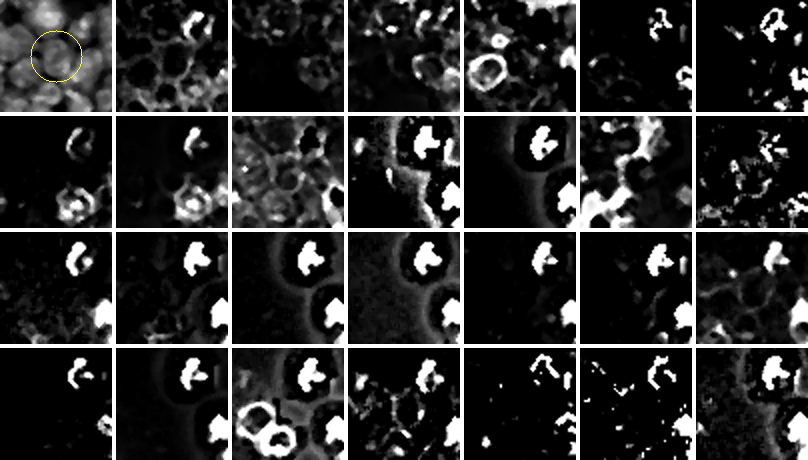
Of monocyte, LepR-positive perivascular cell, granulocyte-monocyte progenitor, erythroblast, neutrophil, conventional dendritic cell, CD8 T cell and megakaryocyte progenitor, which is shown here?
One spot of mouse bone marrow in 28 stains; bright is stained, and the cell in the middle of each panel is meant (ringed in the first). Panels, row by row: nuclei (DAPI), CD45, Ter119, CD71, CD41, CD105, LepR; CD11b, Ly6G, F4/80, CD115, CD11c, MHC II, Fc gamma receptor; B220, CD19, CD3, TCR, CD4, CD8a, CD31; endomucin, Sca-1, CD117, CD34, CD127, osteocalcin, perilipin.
granulocyte-monocyte progenitor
